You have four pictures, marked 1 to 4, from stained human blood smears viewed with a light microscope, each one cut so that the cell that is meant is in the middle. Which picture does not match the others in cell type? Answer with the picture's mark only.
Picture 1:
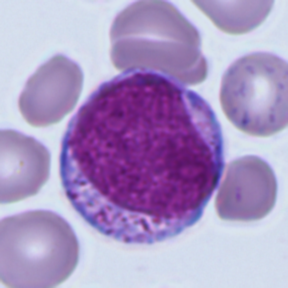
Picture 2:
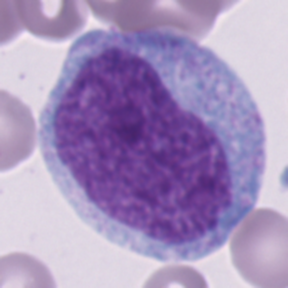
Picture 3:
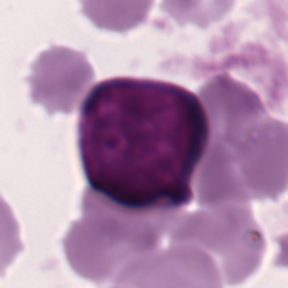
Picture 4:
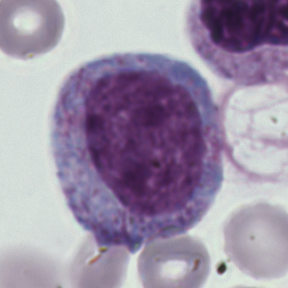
3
